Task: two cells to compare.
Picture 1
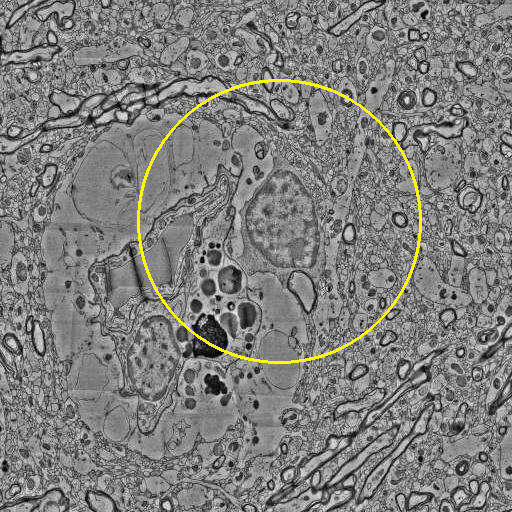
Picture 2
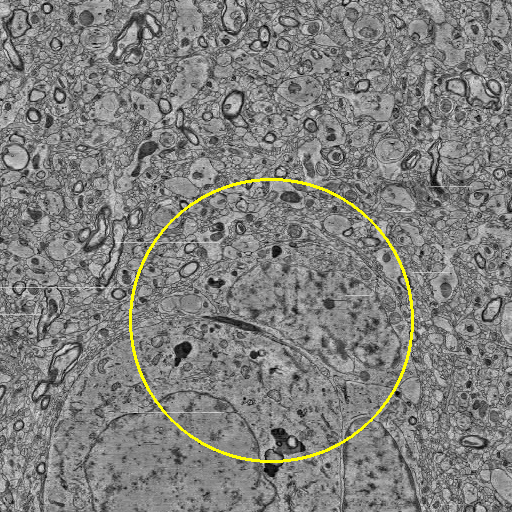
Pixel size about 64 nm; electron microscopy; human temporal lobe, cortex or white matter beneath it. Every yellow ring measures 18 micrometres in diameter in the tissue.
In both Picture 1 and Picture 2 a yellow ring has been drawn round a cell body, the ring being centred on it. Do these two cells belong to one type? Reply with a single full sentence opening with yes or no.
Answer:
No, the two cells at the ring centres in Picture 1 and Picture 2 are of two types.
